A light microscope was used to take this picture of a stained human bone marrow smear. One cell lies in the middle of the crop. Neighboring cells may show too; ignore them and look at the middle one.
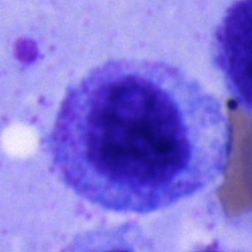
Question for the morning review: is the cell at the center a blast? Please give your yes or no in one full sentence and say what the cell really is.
No, the cell in the middle is correctly named a promyelocyte, not a blast.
